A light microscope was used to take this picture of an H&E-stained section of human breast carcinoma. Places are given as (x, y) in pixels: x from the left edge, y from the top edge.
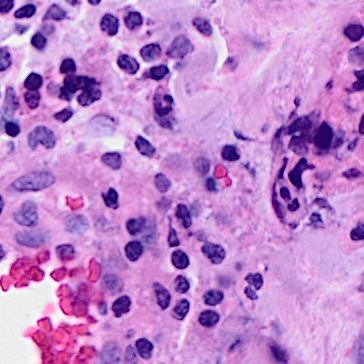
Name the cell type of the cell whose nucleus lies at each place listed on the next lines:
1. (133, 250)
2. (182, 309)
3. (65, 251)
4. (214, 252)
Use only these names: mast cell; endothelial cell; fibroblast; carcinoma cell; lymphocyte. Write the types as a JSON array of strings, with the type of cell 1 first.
["lymphocyte", "lymphocyte", "endothelial cell", "lymphocyte"]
